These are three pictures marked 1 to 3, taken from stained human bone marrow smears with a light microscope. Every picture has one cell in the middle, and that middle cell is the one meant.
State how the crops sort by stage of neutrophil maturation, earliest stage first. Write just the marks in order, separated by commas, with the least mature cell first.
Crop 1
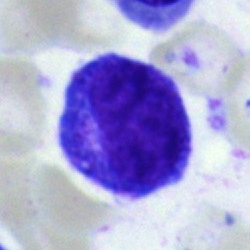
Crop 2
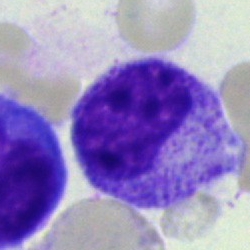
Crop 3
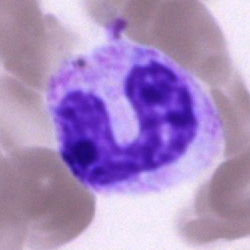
1, 2, 3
